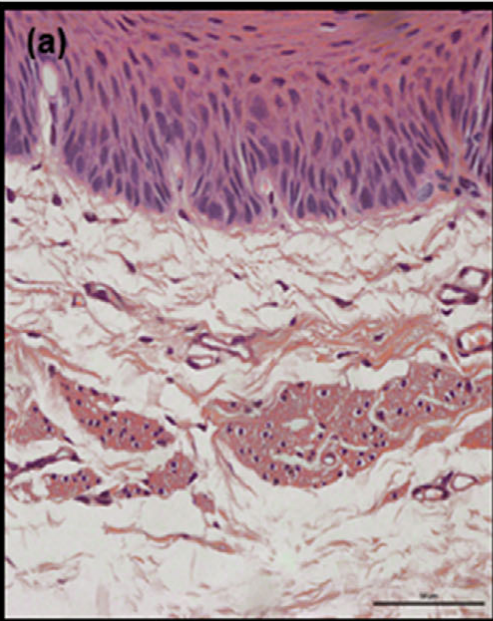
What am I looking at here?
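Lamina muscularis mucosae of the esophagus beneath a stratified squamous epithelium. The epithelium at the top has densely packed basal cells with dark purple nuclei and is separated from the muscle by a wide zone of loose, pale connective tissue containing thin fibres, scattered fibroblast nuclei and small vessels. Lower down lie pink smooth muscle bundles in which the myocytes are cut across, appearing as small rounded or polygonal profiles, many with a single round central nucleus. The bundles are separated by connective tissue clefts.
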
